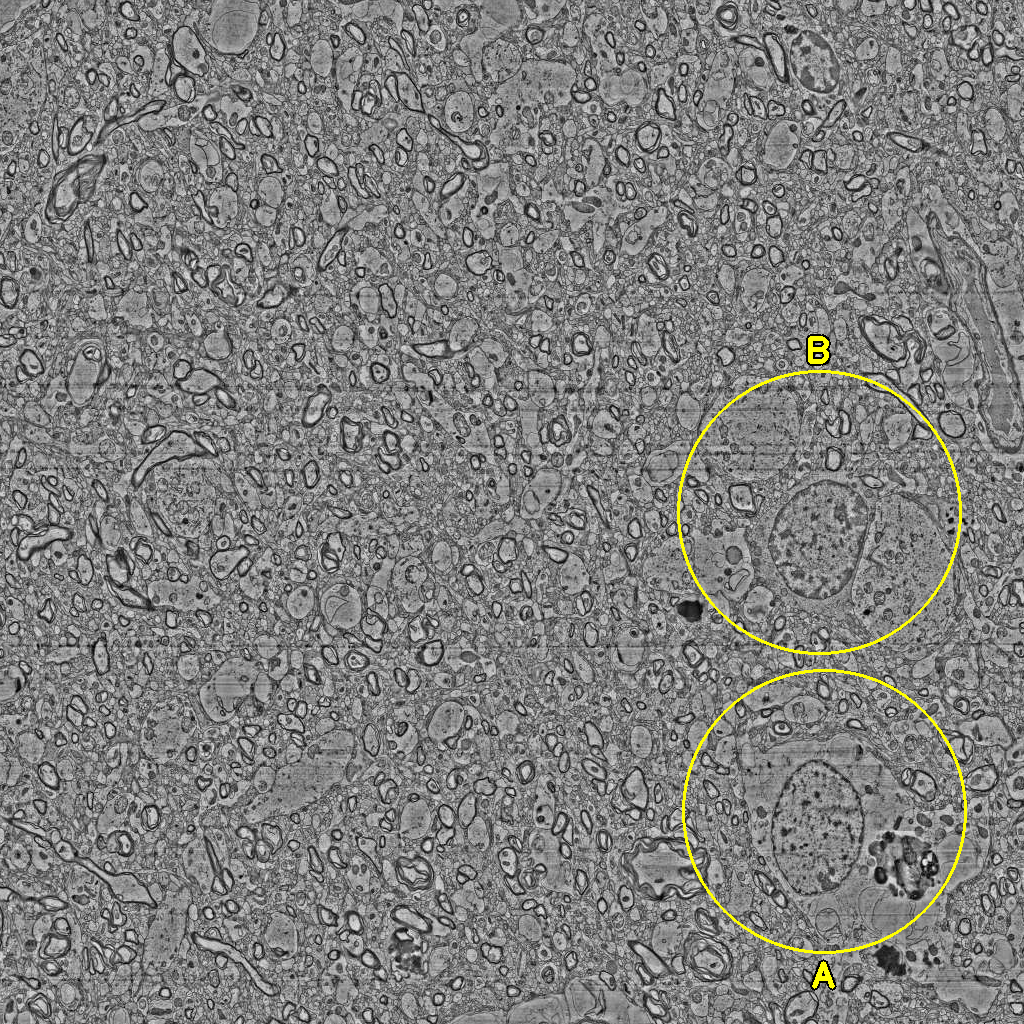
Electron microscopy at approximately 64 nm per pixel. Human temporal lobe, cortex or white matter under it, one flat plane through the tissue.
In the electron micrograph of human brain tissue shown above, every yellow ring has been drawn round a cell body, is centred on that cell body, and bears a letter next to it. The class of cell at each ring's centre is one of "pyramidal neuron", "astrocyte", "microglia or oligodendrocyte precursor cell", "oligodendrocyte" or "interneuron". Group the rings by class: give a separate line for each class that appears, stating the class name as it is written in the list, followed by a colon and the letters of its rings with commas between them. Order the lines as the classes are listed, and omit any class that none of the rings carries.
astrocyte: A
oligodendrocyte: B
